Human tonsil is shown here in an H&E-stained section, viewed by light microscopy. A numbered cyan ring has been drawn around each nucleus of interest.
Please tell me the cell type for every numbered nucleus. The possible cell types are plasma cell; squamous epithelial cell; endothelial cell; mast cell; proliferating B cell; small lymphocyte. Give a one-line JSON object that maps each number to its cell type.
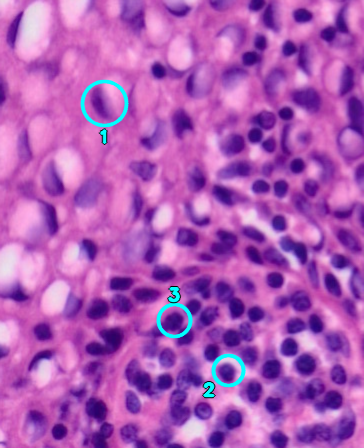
{"1": "squamous epithelial cell", "2": "plasma cell", "3": "plasma cell"}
